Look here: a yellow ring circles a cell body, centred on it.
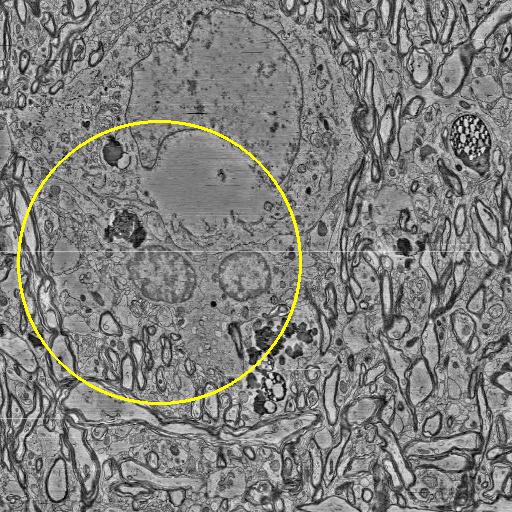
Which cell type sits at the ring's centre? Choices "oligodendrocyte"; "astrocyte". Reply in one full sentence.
The cell at the centre of the yellow ring in the picture is an oligodendrocyte.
